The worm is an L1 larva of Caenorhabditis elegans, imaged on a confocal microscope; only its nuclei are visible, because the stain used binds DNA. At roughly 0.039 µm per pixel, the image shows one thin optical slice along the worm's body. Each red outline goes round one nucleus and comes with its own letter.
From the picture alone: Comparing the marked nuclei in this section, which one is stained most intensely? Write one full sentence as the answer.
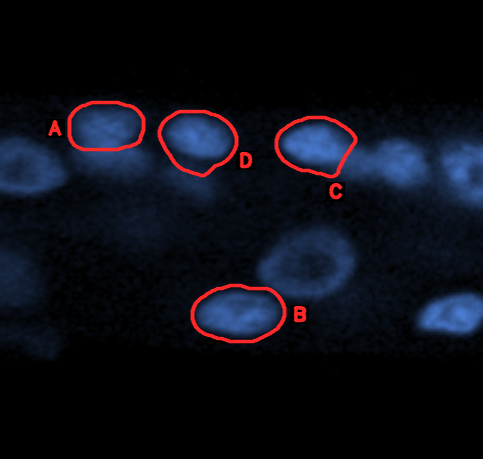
C is stained most strongly in this section.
